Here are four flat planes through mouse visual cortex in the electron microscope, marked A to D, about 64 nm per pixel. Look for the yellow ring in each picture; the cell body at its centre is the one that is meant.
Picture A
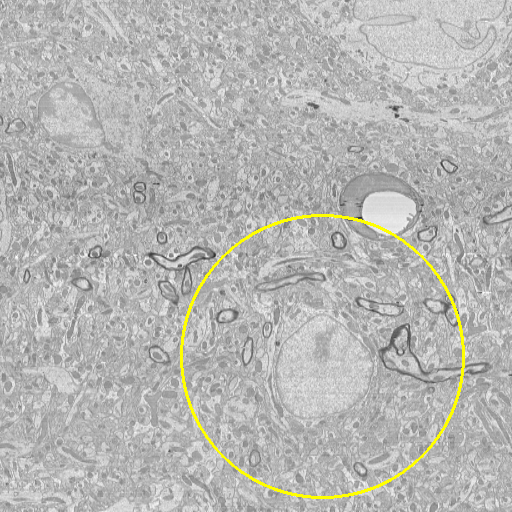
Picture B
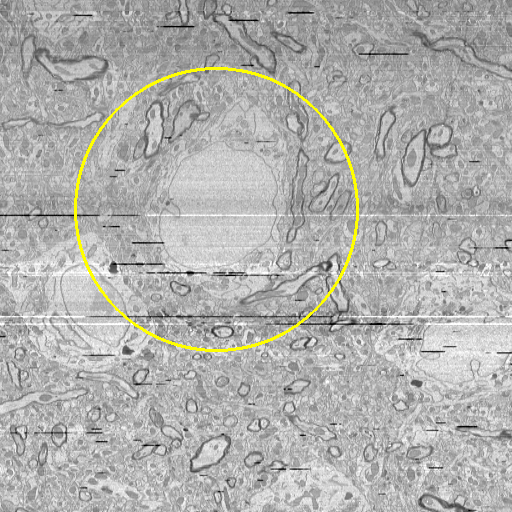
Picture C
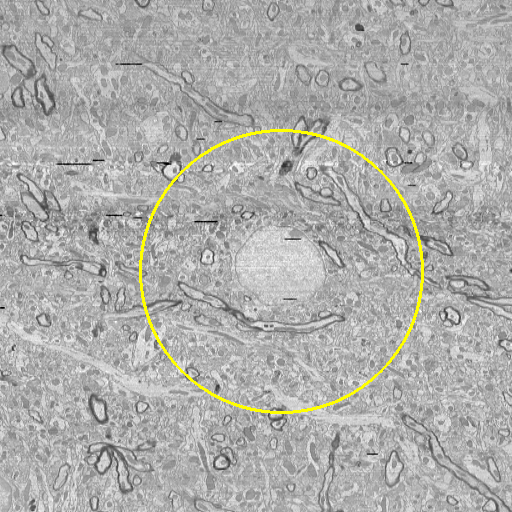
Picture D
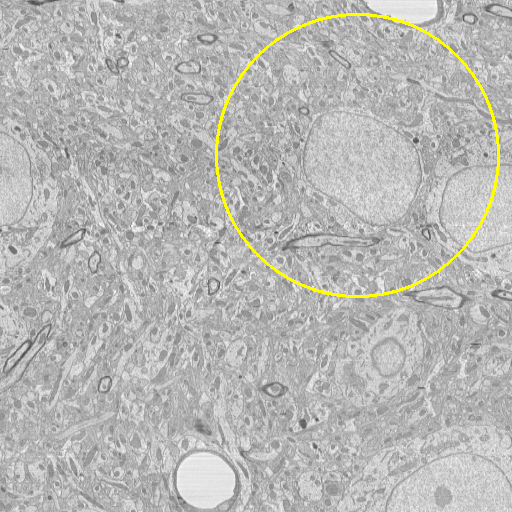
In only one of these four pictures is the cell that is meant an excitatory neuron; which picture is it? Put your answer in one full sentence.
Picture B shows the excitatory neuron.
